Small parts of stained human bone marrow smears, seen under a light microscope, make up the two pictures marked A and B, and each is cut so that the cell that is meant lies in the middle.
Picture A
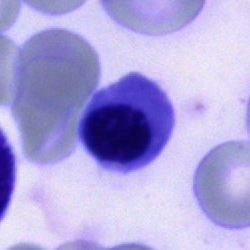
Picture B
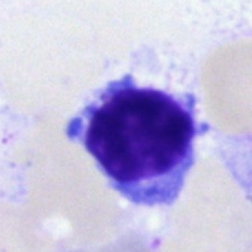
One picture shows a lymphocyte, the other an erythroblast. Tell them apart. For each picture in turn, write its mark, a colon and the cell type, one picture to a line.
A: erythroblast
B: lymphocyte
